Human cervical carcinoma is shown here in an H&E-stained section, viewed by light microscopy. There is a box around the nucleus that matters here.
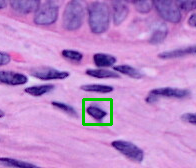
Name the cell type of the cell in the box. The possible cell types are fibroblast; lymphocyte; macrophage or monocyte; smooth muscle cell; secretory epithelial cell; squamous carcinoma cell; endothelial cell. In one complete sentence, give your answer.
As to its cell type, the cell in the box is a fibroblast.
